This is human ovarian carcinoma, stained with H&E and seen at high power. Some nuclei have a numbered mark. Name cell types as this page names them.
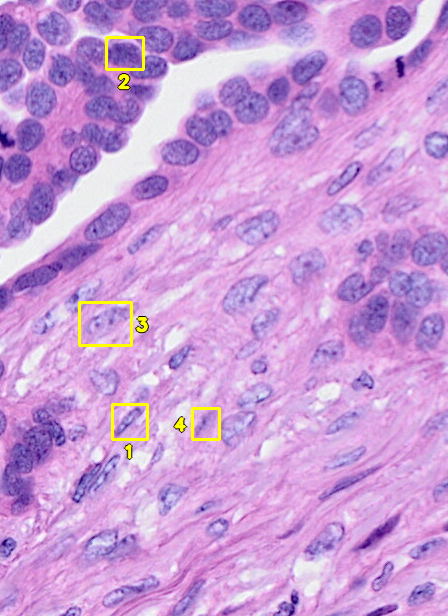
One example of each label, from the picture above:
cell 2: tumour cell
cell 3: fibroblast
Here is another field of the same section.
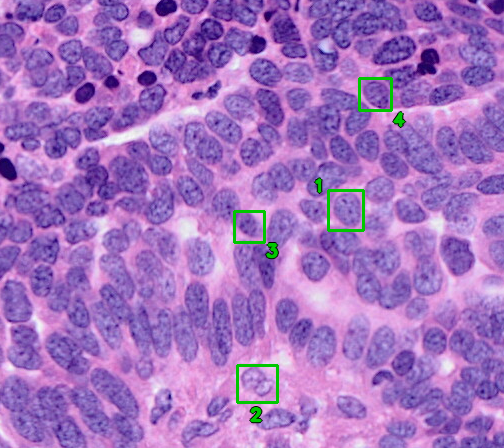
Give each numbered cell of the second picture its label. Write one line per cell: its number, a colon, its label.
1: tumour cell
2: fibroblast
3: tumour cell
4: tumour cell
